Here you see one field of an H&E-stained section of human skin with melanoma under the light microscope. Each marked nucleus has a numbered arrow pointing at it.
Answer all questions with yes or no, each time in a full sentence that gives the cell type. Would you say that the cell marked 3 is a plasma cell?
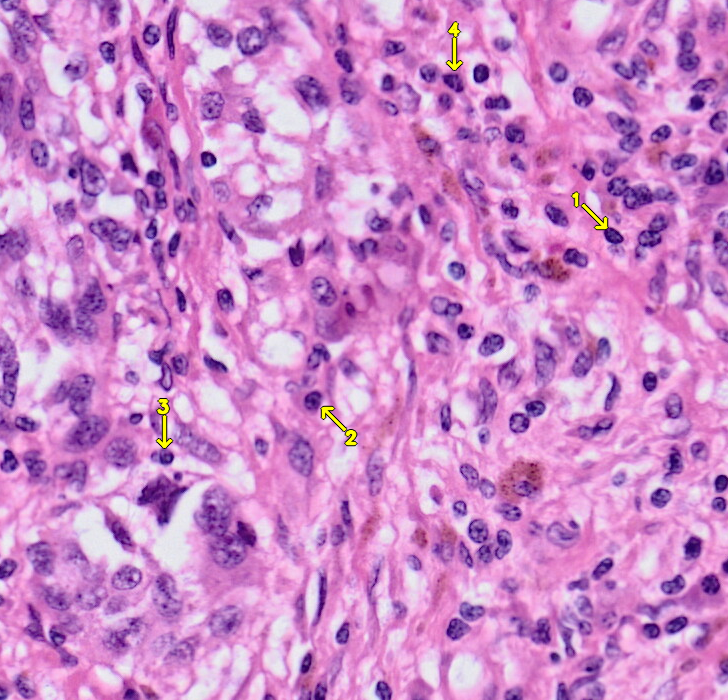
No, cell 3 should be read as a lymphocyte instead of a plasma cell.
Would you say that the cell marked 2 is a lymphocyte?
No, not a lymphocyte: the cell with number 2 is a plasma cell.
